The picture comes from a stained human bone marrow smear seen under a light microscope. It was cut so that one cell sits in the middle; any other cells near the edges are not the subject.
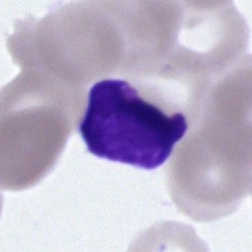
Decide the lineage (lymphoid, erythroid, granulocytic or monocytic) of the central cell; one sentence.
Under the lymphoid lineage falls the cell in the middle of the crop.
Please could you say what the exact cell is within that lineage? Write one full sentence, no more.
The centered cell in this crop is a lymphocyte.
